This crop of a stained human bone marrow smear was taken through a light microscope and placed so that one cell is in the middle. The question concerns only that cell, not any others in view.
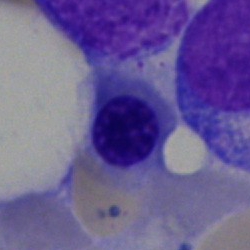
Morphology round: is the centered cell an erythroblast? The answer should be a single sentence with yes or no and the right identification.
Yes, the cell lying in the middle is an erythroblast.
